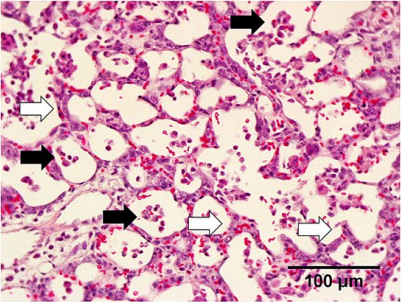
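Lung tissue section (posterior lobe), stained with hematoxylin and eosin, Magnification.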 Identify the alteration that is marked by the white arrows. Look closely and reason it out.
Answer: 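The white arrows point at walls between air spaces. These walls are broad and crowded with nuclei rather than thin lines.
Thickened alveolar walls.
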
